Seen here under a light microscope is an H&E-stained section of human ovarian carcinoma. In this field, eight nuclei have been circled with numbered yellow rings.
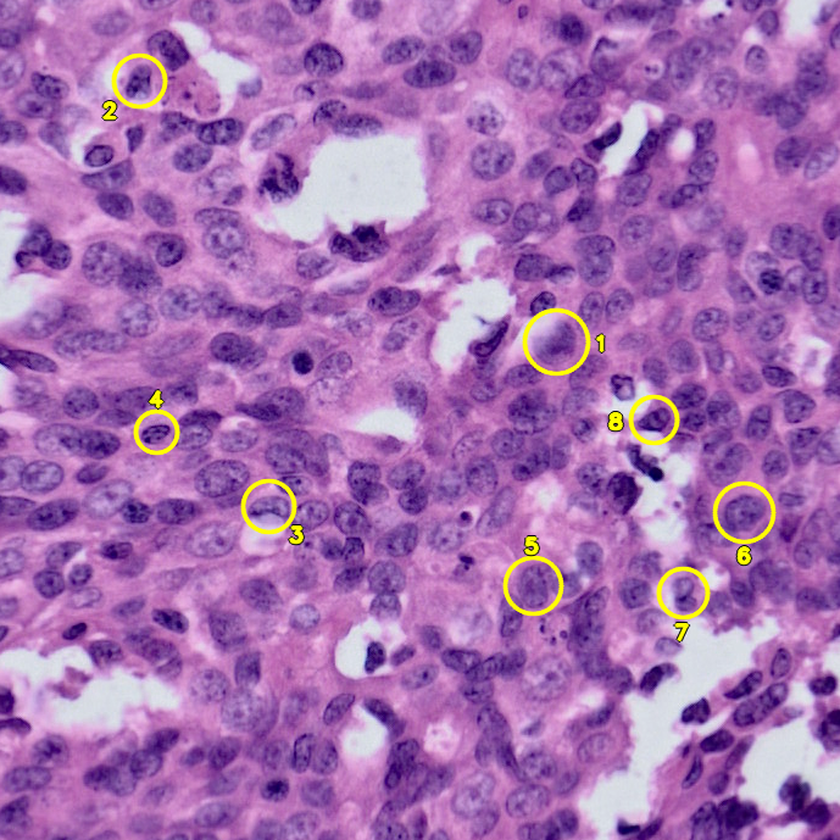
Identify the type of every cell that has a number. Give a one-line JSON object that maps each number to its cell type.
{"1": "carcinoma cell", "2": "macrophage or monocyte", "3": "macrophage or monocyte", "4": "macrophage or monocyte", "5": "carcinoma cell", "6": "carcinoma cell", "7": "macrophage or monocyte", "8": "carcinoma cell"}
